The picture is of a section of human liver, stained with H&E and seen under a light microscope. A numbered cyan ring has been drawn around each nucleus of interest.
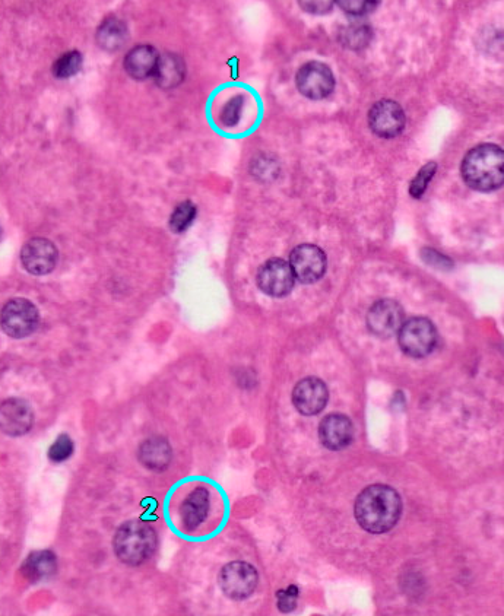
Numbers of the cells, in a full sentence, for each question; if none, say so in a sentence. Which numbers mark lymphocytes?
In short, cell 1 is a lymphocyte; the others are not.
